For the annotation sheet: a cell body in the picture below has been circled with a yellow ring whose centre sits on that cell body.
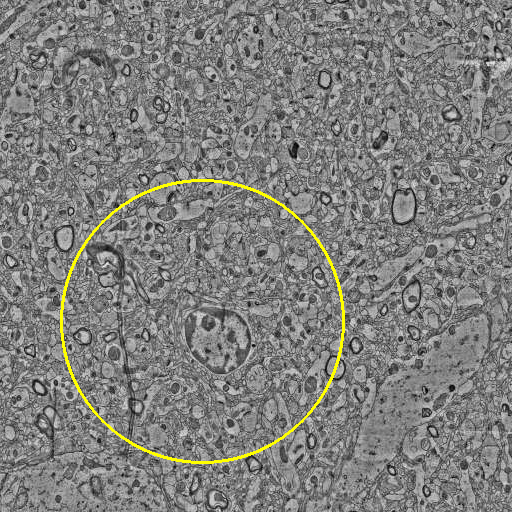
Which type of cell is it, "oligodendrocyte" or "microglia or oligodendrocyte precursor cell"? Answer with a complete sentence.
The circled cell is a microglial cell or oligodendrocyte precursor cell.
